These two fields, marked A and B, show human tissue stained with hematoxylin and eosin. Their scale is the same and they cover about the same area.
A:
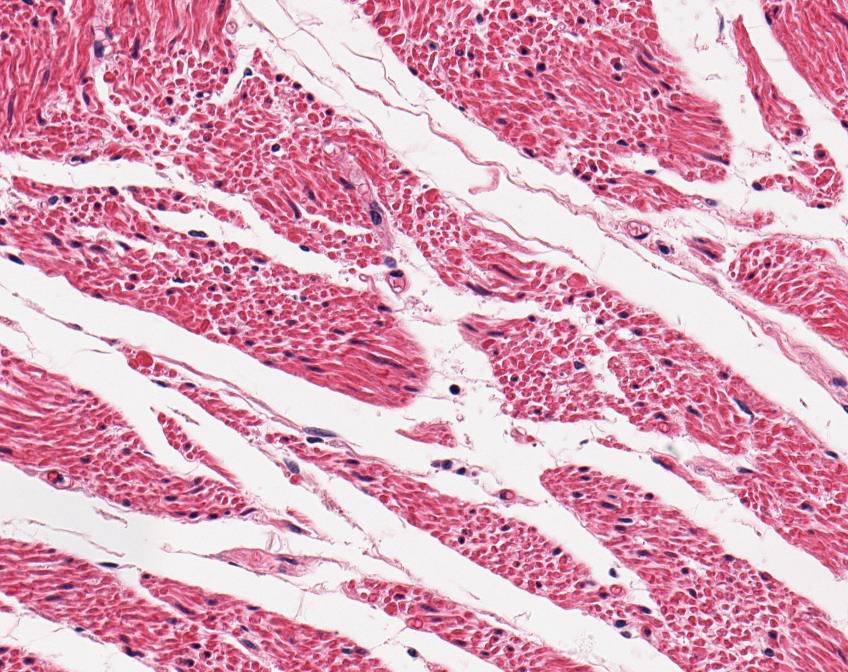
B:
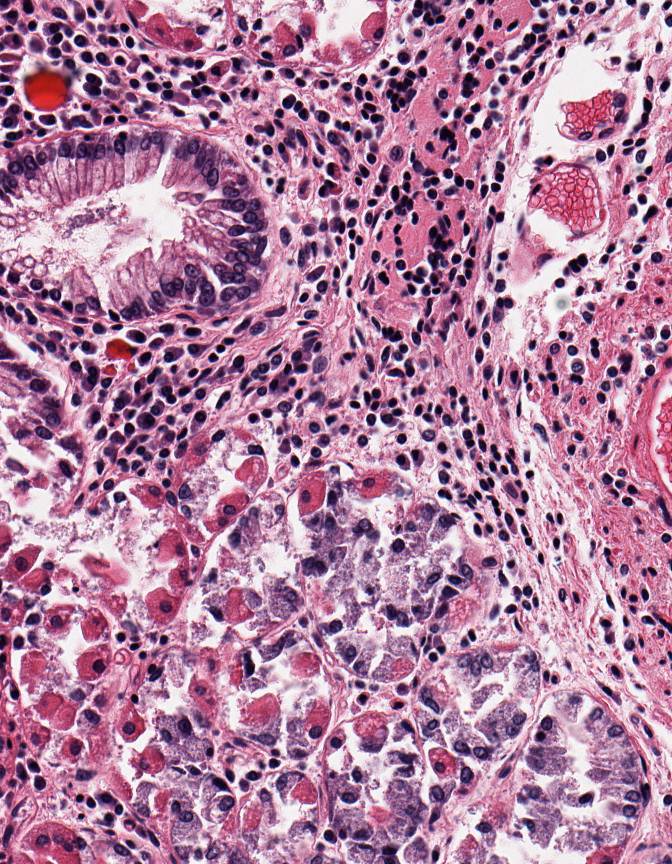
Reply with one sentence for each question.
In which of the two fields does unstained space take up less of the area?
It is picture B that stained tissue fills more completely.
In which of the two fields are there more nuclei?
Picture B holds more nuclei than picture A.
